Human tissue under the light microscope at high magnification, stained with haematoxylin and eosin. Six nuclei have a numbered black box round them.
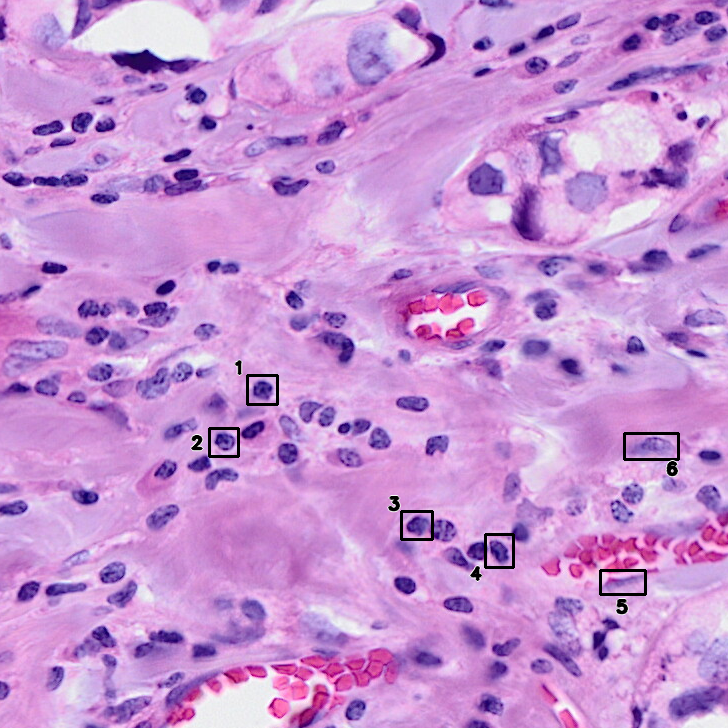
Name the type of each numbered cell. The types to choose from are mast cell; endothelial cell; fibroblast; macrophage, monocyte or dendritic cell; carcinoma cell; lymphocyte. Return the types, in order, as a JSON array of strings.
["lymphocyte", "lymphocyte", "lymphocyte", "lymphocyte", "endothelial cell", "fibroblast"]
